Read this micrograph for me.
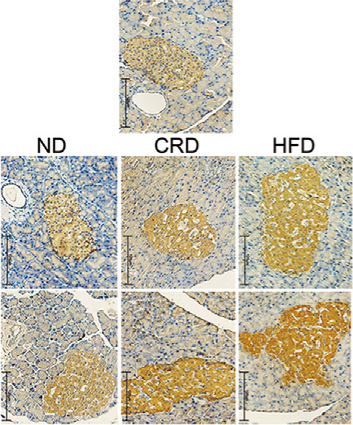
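Within the islets, the cells are closely packed, with small nuclei scattered among the brown-stained cytoplasm. Some images also show cross-sectioned ducts or vessels as pale round spaces beside the islets.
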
